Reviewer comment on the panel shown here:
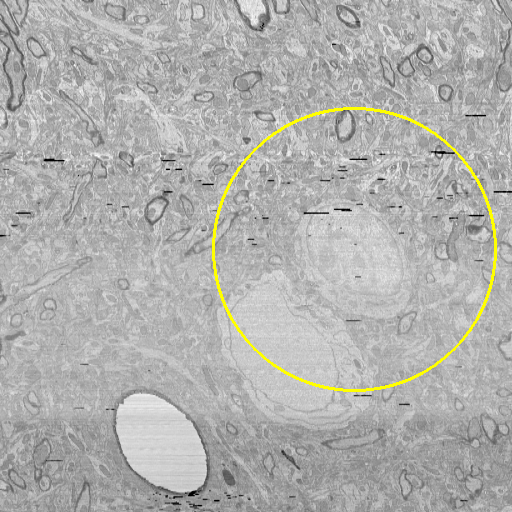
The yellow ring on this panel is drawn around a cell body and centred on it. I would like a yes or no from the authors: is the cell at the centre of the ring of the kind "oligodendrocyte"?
yes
